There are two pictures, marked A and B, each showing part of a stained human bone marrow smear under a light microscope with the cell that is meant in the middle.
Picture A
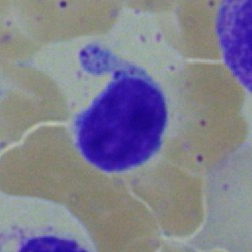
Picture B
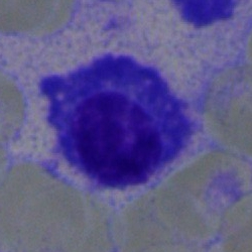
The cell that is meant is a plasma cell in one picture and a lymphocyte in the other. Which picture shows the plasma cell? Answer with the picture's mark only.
B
